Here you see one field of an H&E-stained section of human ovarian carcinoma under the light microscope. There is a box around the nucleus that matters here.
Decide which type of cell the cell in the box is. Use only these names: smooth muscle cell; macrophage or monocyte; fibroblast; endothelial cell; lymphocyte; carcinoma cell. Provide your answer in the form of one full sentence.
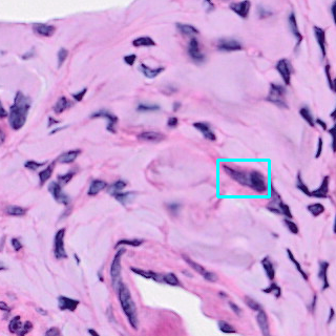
In the tissue under study, the cell in the box is an endothelial cell.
